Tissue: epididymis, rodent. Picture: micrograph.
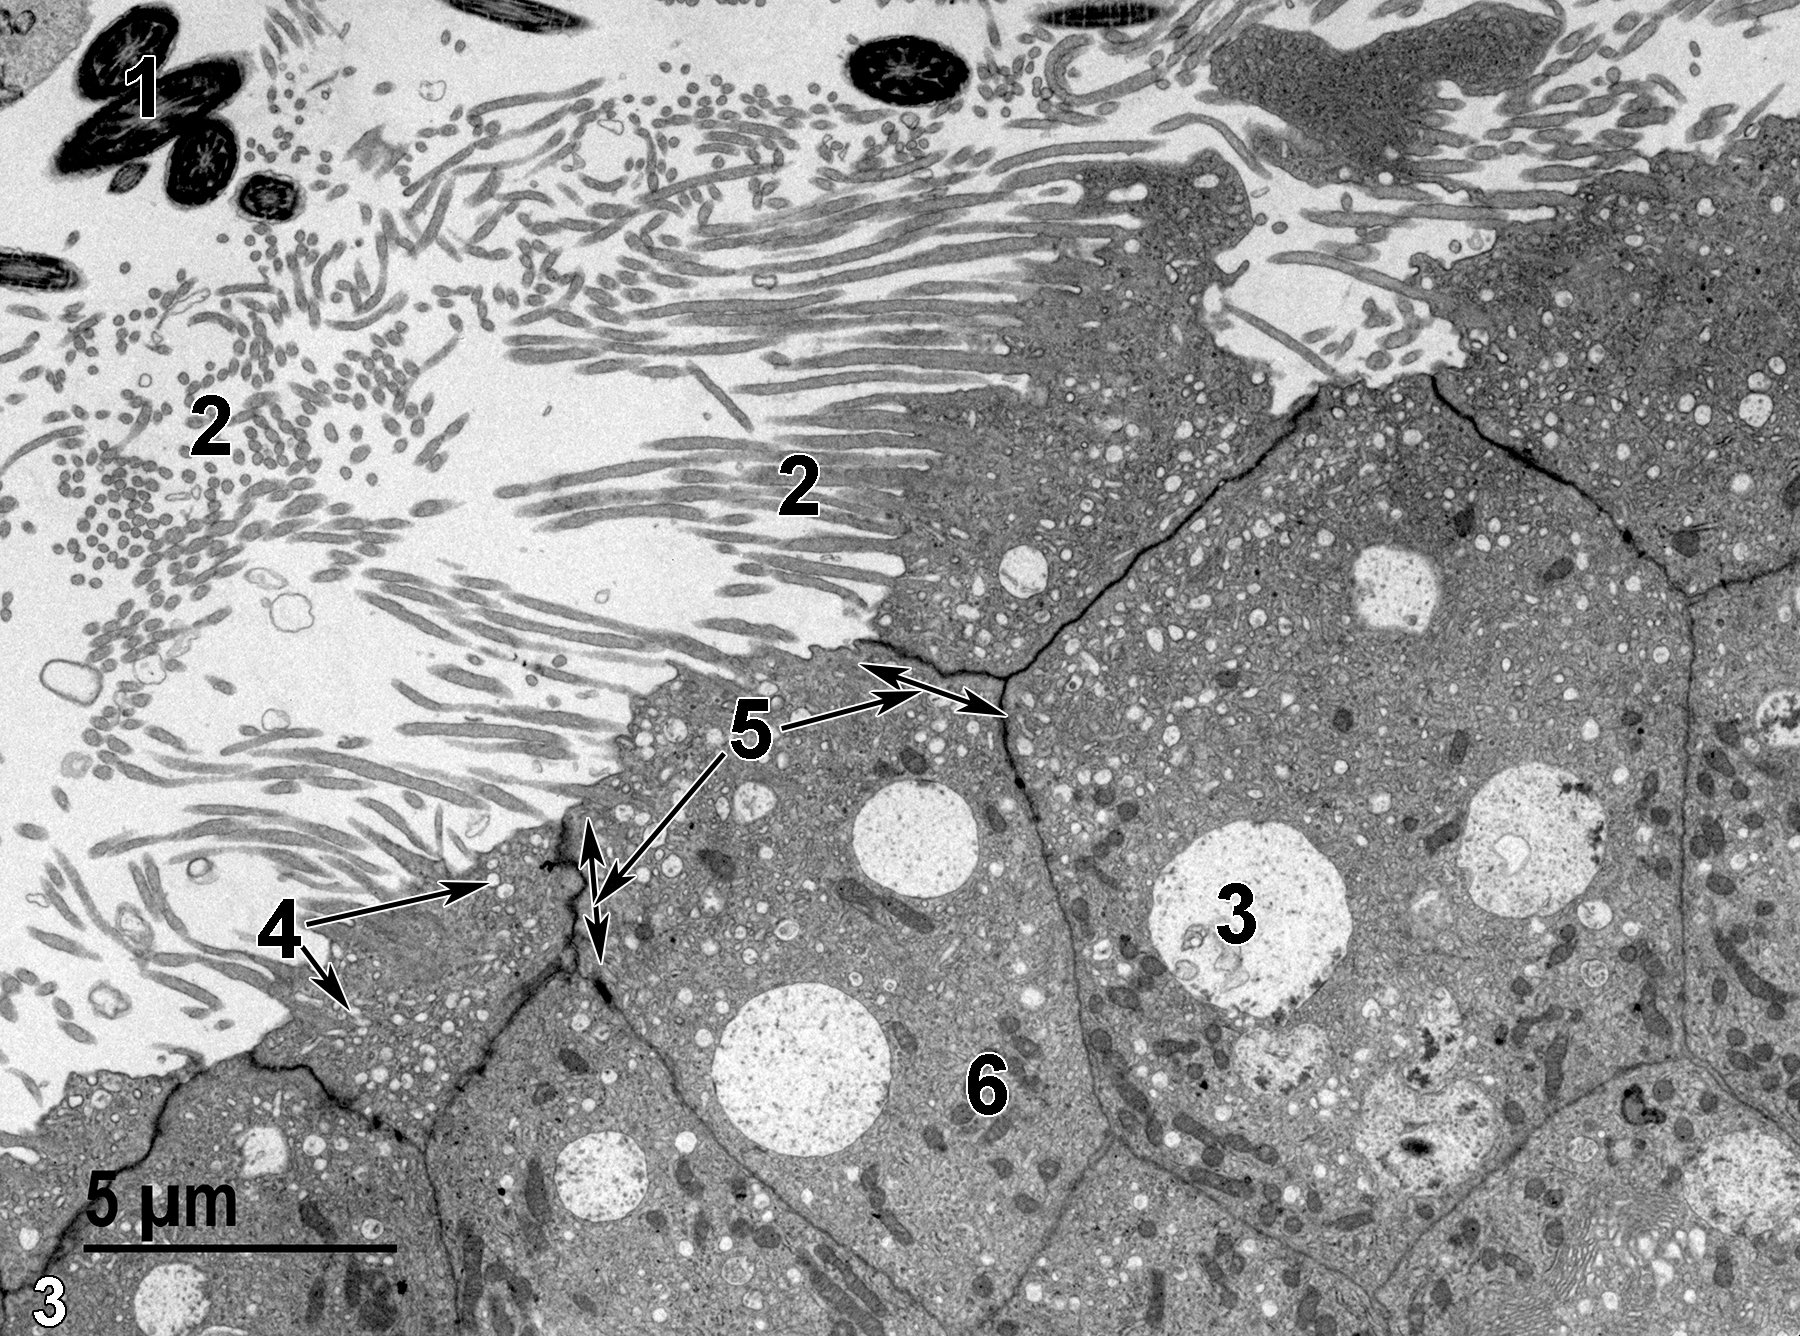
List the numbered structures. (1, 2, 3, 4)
1: midpieces of spermatozoa
2: stereocilia
3: large vacuoles
4: pinocytotic vesicles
